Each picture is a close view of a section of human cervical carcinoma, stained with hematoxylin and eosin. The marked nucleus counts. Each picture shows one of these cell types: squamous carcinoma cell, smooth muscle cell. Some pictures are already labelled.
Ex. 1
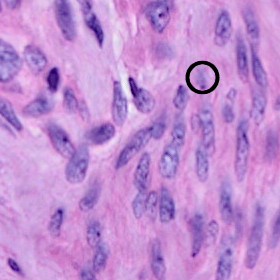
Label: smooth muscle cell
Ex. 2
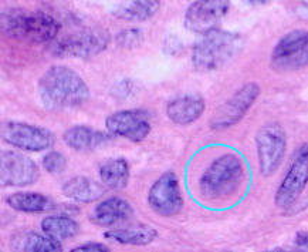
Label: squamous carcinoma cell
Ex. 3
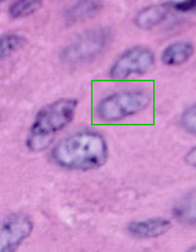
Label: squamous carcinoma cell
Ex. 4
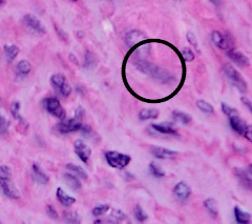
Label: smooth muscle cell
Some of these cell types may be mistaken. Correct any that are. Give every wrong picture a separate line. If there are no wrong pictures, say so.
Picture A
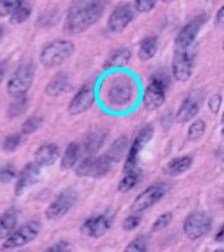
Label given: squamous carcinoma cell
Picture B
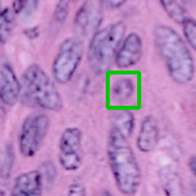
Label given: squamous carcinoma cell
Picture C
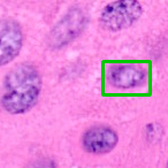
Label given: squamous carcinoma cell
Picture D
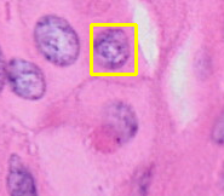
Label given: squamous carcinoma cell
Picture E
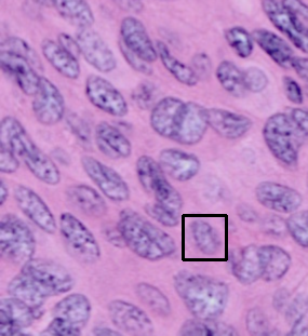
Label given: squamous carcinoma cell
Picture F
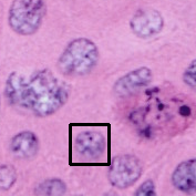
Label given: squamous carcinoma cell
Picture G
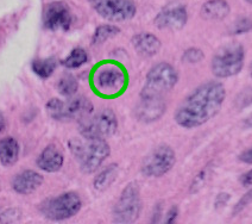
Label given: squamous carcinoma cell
No label is wrong.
